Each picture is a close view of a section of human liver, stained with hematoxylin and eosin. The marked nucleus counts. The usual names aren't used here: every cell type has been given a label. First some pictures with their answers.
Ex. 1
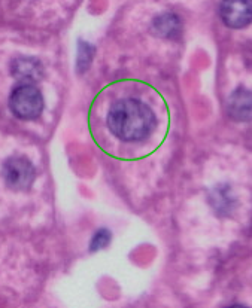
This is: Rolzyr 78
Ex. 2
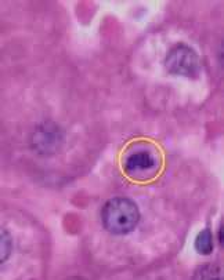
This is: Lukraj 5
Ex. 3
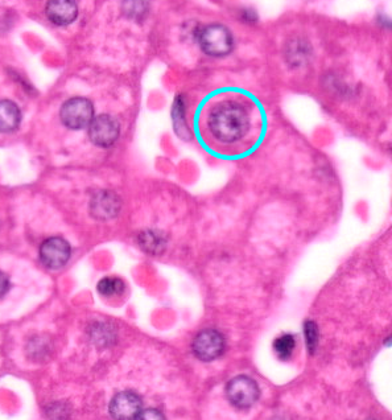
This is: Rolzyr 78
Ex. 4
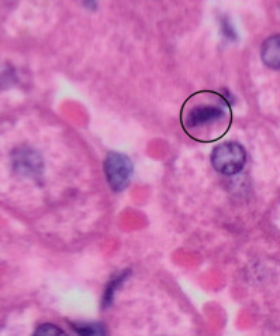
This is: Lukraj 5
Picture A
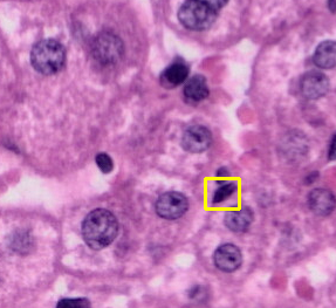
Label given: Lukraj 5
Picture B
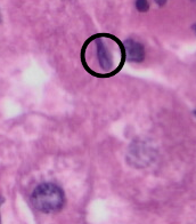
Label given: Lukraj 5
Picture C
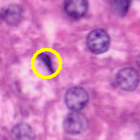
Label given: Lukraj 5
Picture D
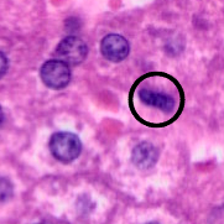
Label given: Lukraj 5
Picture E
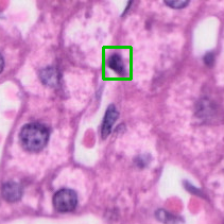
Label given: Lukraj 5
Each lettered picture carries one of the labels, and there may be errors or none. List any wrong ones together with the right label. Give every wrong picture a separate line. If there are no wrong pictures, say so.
No label is wrong.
